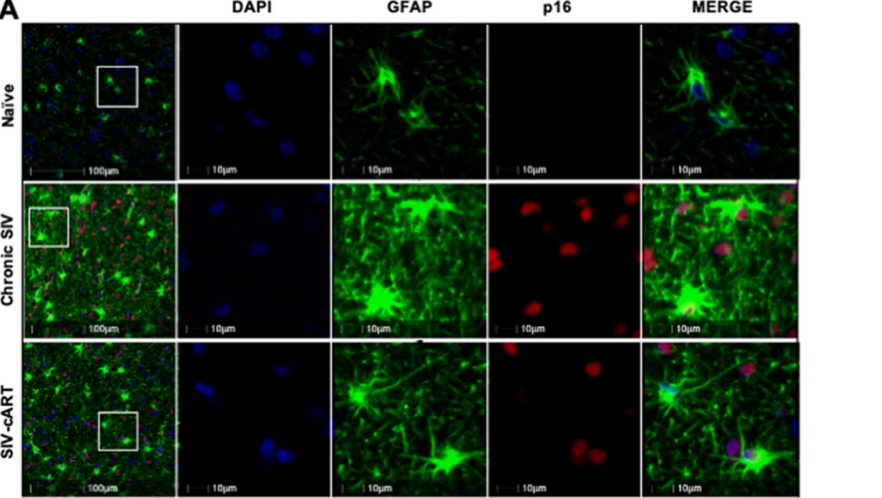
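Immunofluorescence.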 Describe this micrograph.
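In the low-power views at left the astrocytes are scattered through the tissue among many other blue nuclei. The top row shows almost no red. In the two lower rows many nuclei are red, and in the merged close-ups the red overlaps the blue nuclei, some of them inside green astrocytes. In the middle row the green processes are denser and form a thick meshwork.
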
